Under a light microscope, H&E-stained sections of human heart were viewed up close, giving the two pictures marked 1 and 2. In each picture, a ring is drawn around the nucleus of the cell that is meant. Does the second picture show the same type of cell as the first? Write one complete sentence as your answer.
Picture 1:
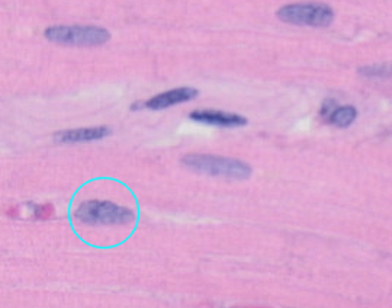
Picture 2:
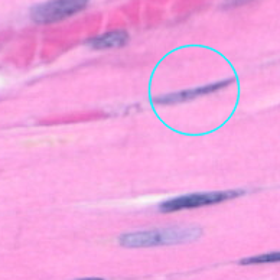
No; the cell in picture 1 is a cardiomyocyte, while the one in picture 2 is an endothelial cell.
